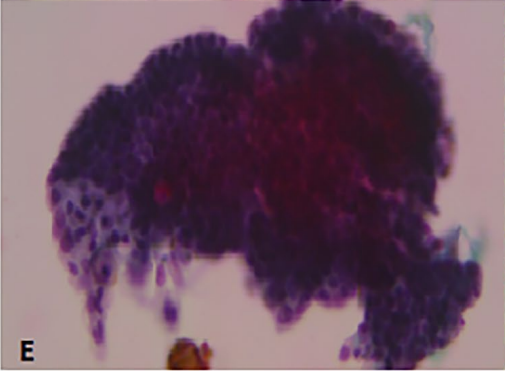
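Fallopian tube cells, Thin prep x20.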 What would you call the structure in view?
Complex cluster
